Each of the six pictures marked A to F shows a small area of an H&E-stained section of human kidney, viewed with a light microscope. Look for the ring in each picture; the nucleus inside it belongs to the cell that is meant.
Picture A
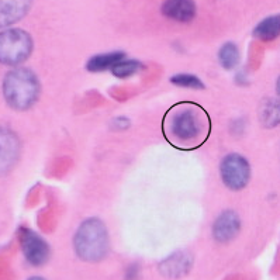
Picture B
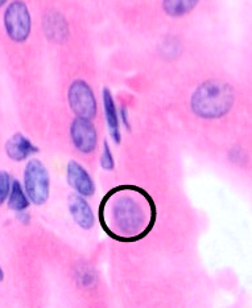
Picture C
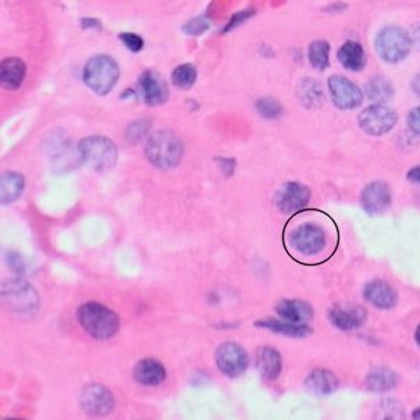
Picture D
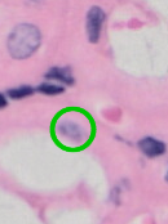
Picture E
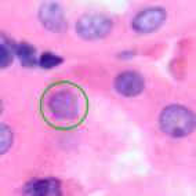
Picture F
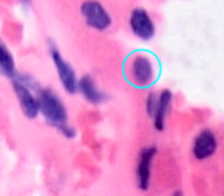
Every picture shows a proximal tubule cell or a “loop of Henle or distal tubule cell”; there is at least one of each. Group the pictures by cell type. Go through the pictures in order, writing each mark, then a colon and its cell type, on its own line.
A: loop of Henle or distal tubule cell
B: proximal tubule cell
C: loop of Henle or distal tubule cell
D: loop of Henle or distal tubule cell
E: proximal tubule cell
F: loop of Henle or distal tubule cell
